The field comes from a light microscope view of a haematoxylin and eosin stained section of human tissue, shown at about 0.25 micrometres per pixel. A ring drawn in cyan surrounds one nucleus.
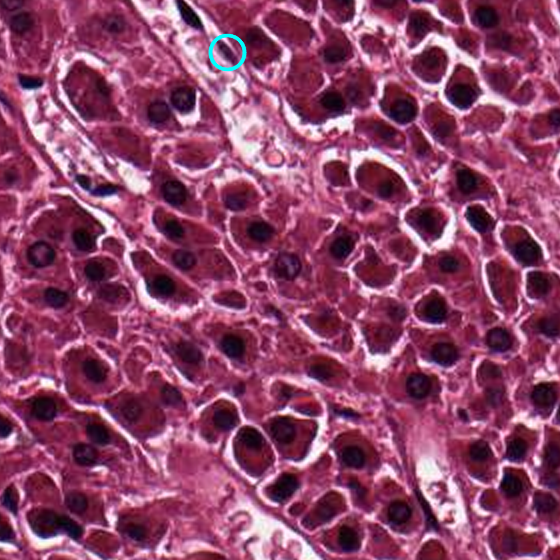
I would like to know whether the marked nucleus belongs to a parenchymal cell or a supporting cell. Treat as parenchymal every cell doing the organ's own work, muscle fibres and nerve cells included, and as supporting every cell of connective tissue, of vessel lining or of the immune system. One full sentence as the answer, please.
The marked nucleus sits within a supporting cell.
